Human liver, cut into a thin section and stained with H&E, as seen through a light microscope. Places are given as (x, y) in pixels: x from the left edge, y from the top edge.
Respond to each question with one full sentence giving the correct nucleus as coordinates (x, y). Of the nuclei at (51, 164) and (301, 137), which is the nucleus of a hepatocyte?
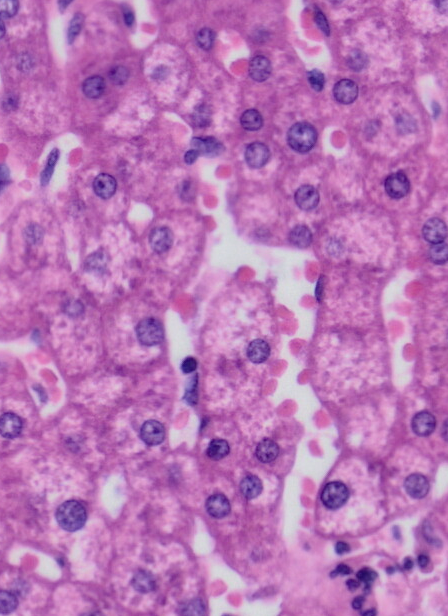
The nucleus contained in a hepatocyte is the one at (301, 137).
